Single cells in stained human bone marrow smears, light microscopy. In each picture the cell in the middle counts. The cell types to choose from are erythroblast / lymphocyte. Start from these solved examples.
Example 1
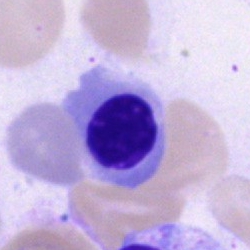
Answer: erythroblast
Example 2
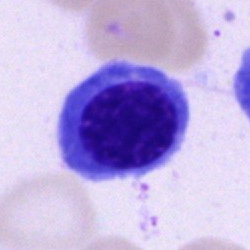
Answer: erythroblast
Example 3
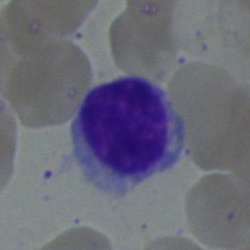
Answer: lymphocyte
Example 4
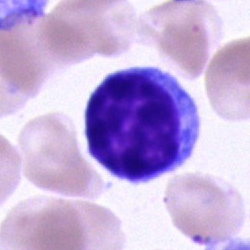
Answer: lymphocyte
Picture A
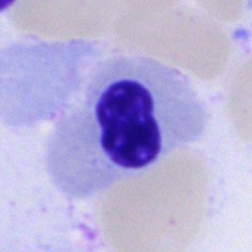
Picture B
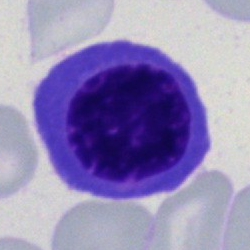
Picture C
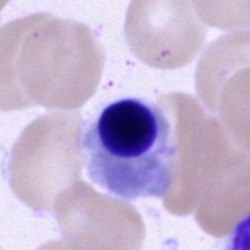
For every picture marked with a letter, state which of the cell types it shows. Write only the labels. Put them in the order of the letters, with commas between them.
erythroblast, erythroblast, erythroblast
